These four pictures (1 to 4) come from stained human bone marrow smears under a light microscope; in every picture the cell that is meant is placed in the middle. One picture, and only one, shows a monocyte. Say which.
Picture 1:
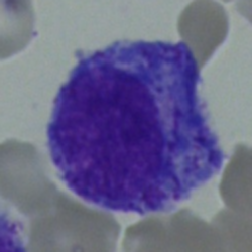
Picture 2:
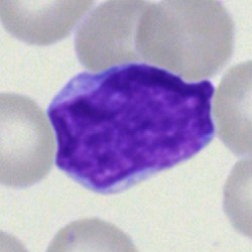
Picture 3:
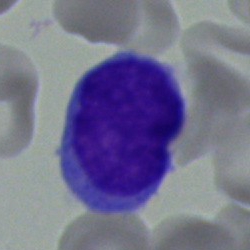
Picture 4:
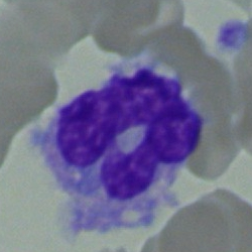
4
